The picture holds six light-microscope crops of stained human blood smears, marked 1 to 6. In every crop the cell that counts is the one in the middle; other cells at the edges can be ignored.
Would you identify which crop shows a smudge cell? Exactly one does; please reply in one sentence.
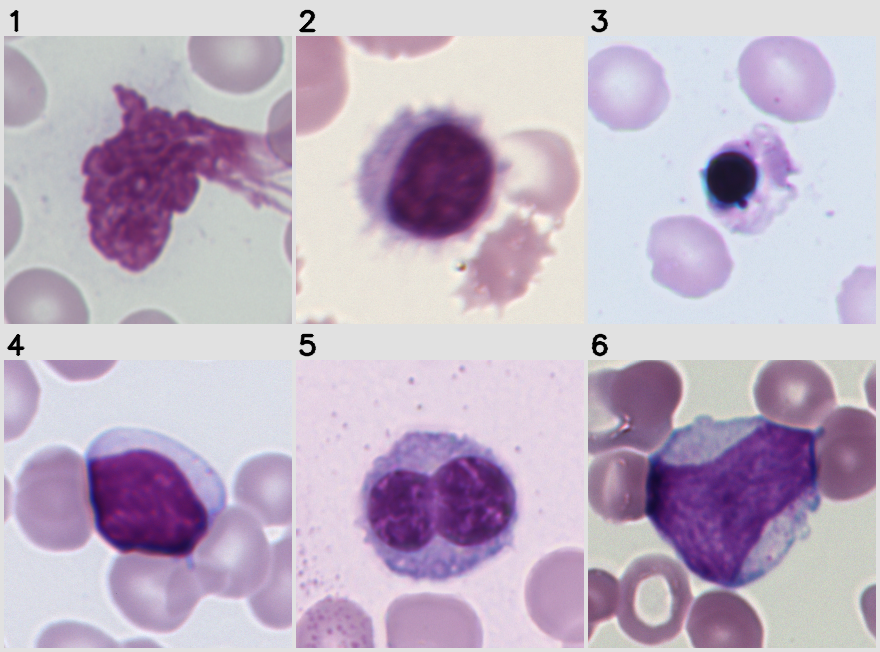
Of the labeled crops, the one with a smudge cell is crop 1.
